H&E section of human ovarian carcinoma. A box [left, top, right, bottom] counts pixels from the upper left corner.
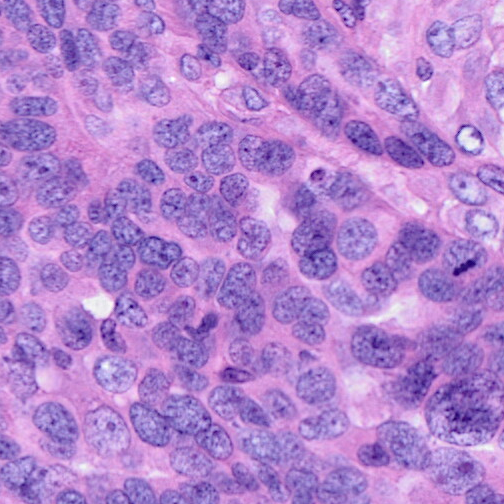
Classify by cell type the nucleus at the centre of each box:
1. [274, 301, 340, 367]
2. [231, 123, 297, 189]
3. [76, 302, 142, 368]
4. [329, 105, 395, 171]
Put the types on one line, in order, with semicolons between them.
carcinoma cell; carcinoma cell; macrophage or monocyte; carcinoma cell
